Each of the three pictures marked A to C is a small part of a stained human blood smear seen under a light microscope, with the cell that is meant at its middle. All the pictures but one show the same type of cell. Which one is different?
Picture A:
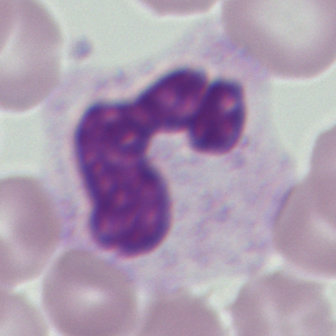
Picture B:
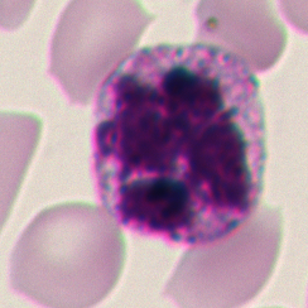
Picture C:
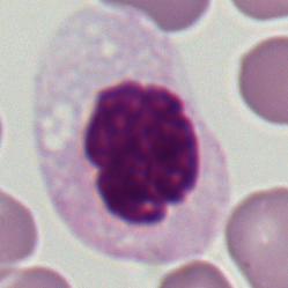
B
